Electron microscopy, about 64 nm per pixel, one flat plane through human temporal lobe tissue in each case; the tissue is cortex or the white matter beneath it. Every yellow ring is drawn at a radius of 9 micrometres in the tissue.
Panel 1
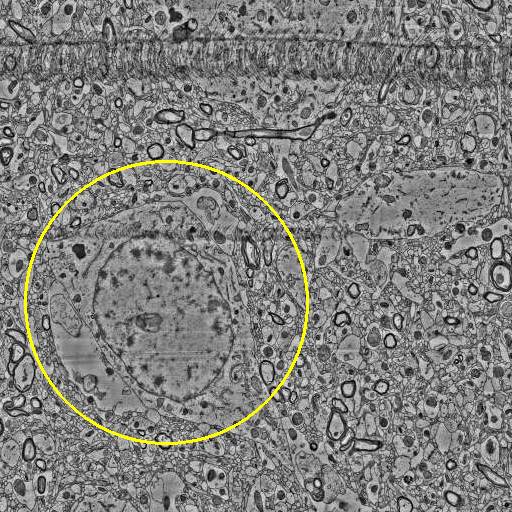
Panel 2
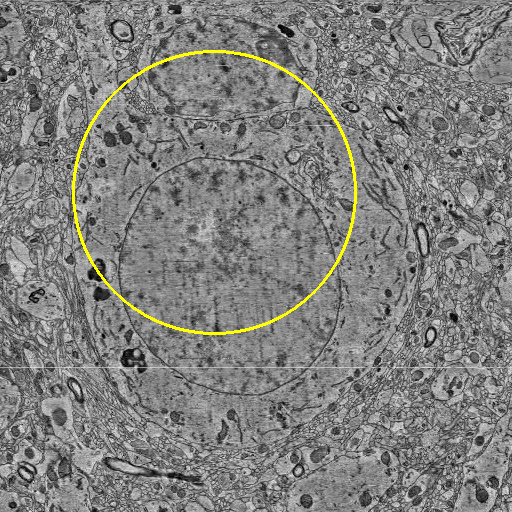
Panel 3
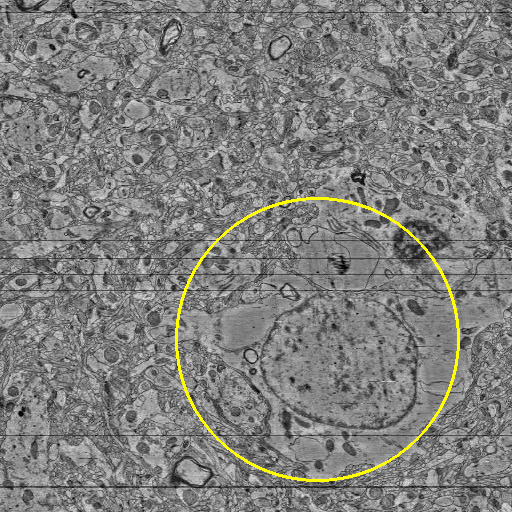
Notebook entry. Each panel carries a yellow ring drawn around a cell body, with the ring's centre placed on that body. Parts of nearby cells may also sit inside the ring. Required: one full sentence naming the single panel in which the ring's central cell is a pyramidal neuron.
Panel 2 is the single one with the sought cell at its ring's centre.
